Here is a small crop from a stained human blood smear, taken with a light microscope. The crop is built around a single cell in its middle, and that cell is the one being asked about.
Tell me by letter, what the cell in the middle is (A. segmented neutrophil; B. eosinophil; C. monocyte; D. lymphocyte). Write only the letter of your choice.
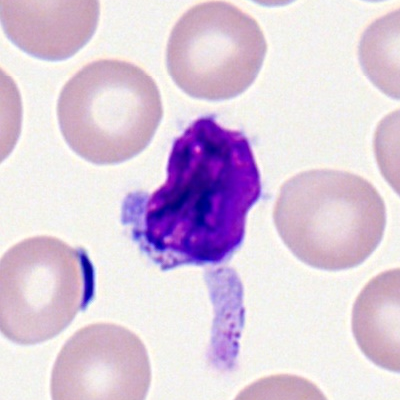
D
